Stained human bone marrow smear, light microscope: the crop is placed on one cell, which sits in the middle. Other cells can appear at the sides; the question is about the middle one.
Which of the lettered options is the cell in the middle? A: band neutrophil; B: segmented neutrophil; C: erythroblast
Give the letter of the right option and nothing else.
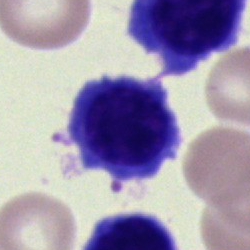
C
